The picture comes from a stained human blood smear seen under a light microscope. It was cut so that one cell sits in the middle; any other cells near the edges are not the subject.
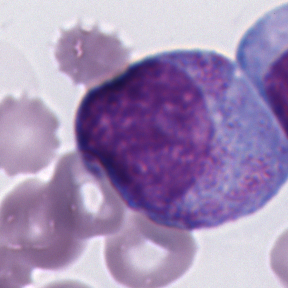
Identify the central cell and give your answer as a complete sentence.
Whatever else lies nearby, the middle cell is a promyelocyte.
